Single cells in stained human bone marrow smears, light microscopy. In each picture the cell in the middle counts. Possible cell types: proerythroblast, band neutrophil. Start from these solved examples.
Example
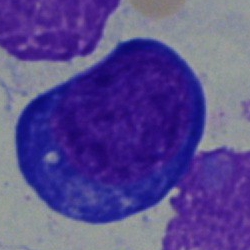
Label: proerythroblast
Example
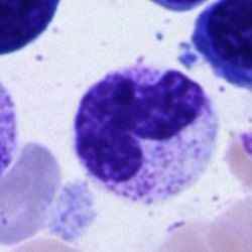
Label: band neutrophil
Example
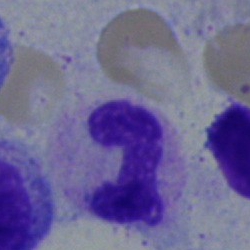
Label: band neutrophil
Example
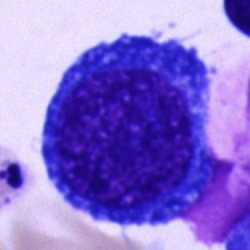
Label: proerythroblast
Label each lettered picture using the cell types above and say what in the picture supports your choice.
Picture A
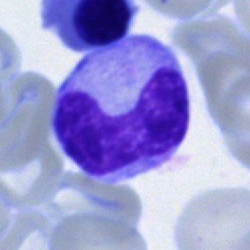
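band neutrophil: The chromatin is dark purple and coarsely clumped, with paler patches between the clumps.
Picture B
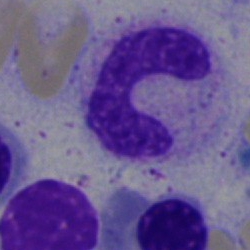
band neutrophil: The chromatin is dark purple and coarsely clumped.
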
